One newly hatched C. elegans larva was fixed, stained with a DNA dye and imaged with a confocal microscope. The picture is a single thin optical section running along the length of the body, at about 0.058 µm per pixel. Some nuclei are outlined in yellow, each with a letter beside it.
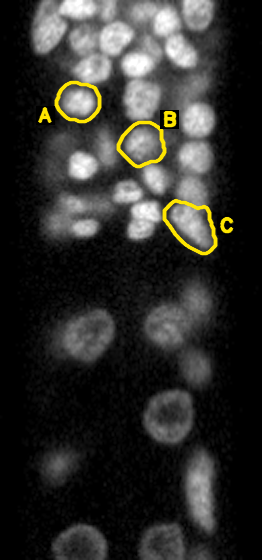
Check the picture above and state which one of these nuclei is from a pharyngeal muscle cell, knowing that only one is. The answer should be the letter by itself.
B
